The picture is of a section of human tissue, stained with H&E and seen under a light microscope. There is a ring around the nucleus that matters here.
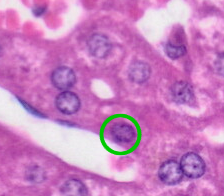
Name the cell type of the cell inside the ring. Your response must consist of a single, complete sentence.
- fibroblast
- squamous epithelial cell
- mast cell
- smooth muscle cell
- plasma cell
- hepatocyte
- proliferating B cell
Among the cells in this section, the cell inside the ring is a hepatocyte.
